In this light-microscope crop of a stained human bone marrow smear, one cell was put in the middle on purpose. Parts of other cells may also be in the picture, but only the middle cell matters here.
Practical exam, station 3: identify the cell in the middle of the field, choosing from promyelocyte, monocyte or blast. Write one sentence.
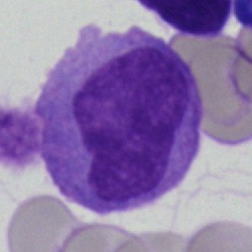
The cell nearest the centre of this crop is a monocyte.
